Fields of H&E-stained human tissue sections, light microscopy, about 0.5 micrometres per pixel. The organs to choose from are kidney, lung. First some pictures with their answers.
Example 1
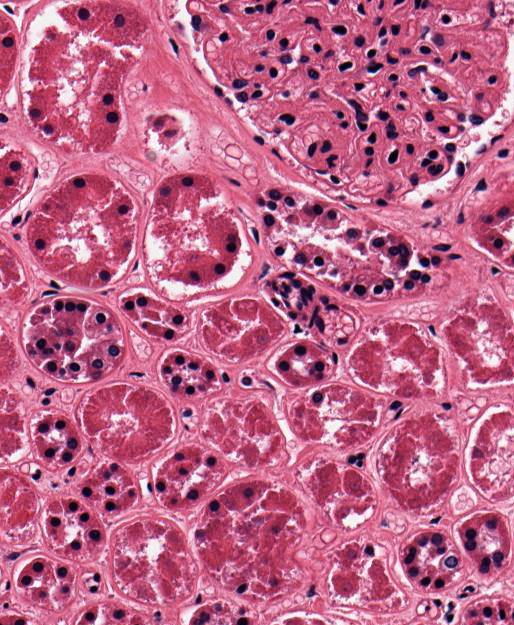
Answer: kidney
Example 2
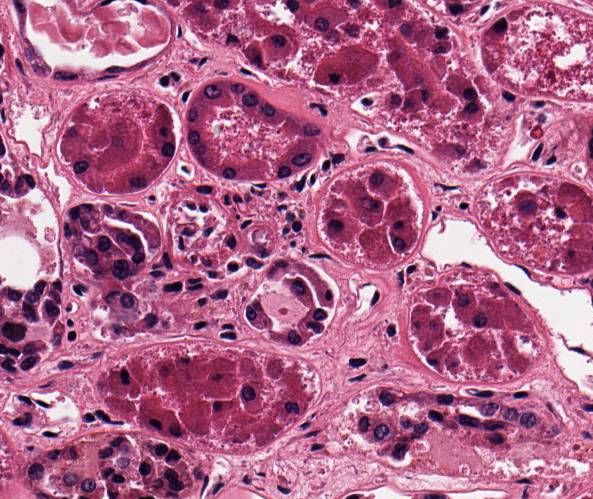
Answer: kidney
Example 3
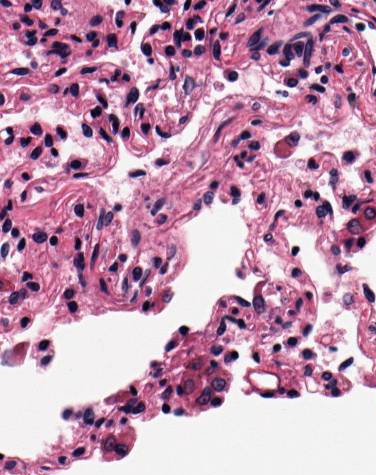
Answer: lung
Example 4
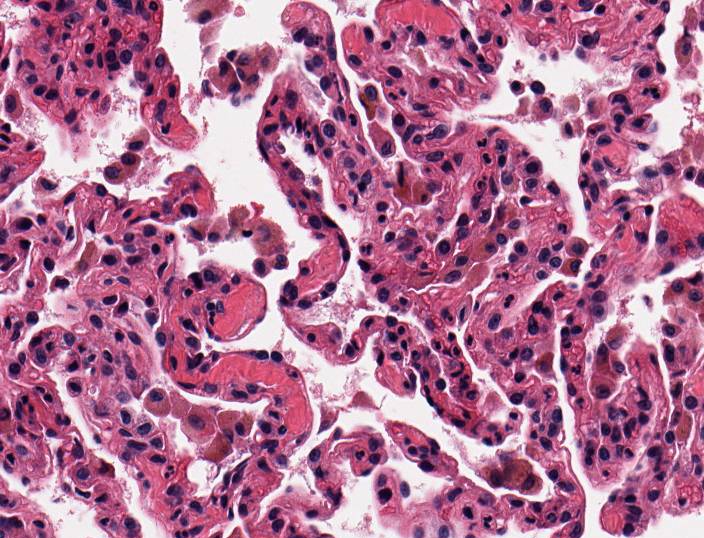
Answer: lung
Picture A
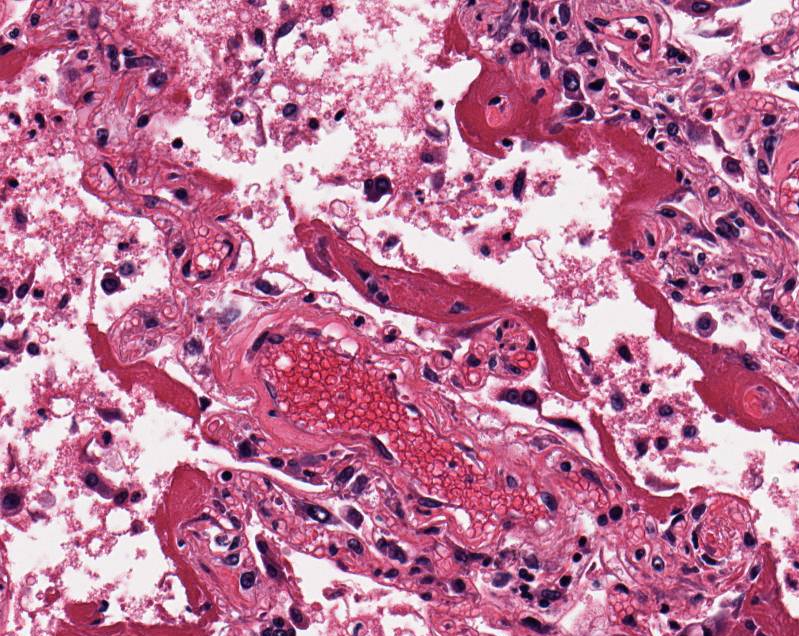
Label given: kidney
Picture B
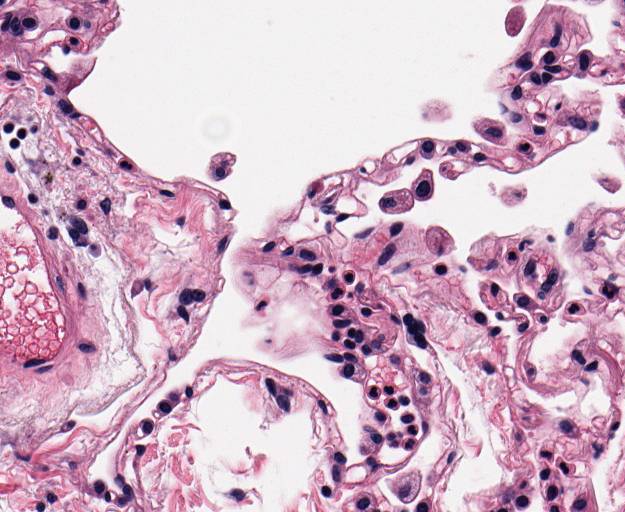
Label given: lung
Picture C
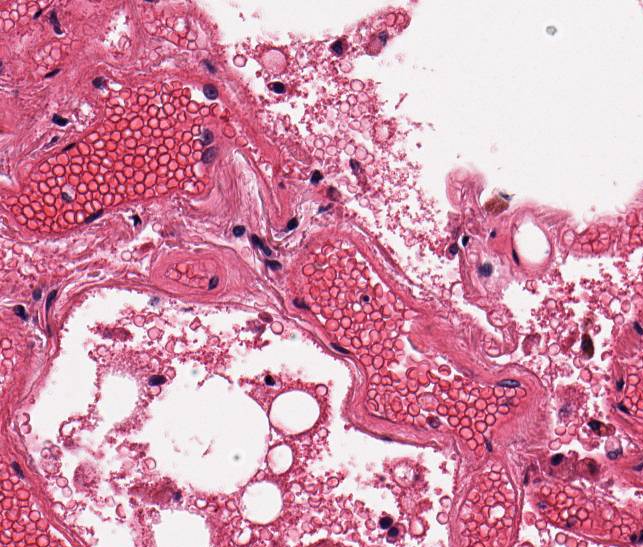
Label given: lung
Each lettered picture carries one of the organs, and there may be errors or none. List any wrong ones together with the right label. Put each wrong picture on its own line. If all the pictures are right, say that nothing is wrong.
A: not kidney but lung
